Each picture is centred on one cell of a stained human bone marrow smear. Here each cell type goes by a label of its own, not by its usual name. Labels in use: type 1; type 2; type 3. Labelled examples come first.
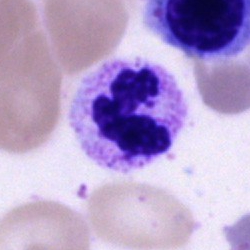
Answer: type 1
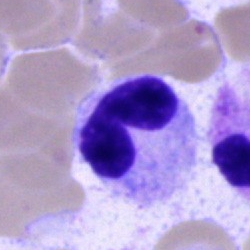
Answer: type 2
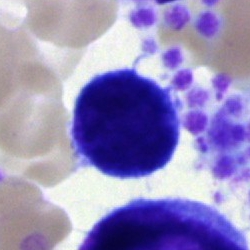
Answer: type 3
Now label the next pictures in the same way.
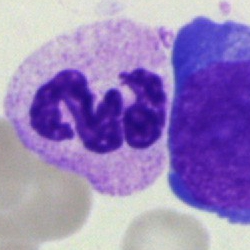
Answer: type 1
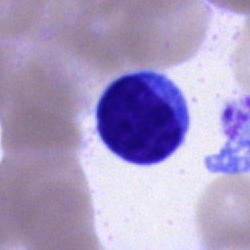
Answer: type 3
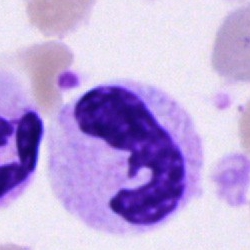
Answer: type 2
